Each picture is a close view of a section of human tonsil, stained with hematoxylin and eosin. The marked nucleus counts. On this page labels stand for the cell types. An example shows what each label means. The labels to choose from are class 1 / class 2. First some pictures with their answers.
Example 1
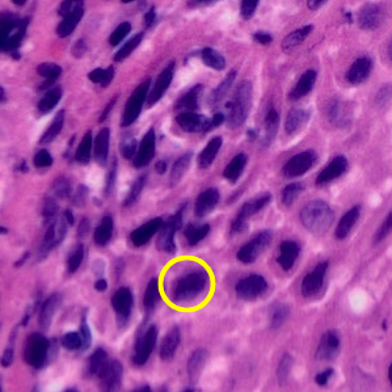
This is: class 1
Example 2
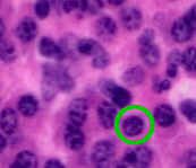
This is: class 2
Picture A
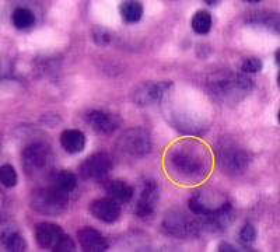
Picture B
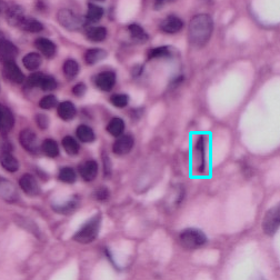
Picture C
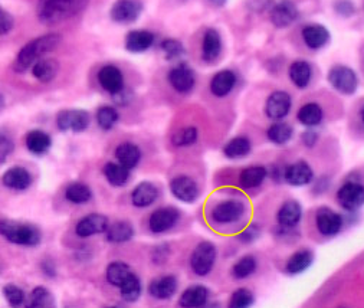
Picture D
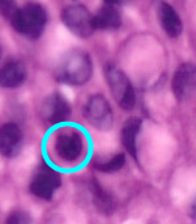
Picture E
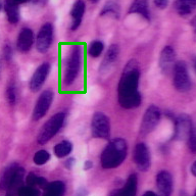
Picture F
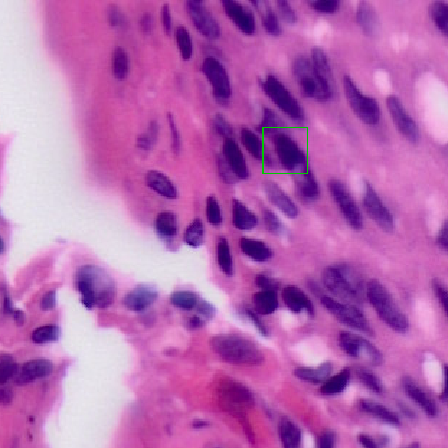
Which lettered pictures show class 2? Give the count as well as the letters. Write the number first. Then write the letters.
Count: 1 (C)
